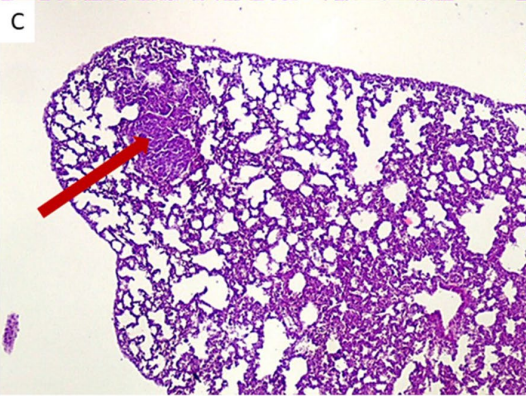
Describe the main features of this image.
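Lung parenchyma with thin alveolar walls forming an open lace-like network of air spaces. Near the upper left edge of the lobe lies a rounded, solid, darker purple nodule without air spaces. The nodule is small relative to the lobe and sits beneath the pleural surface. The remaining tissue shows scattered larger air spaces among finer alveoli.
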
